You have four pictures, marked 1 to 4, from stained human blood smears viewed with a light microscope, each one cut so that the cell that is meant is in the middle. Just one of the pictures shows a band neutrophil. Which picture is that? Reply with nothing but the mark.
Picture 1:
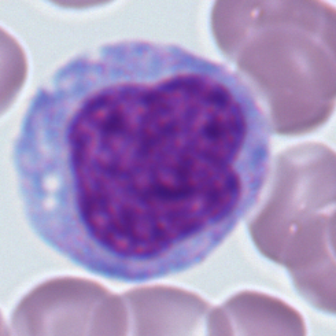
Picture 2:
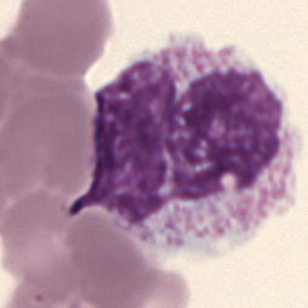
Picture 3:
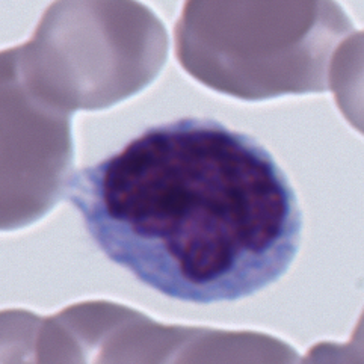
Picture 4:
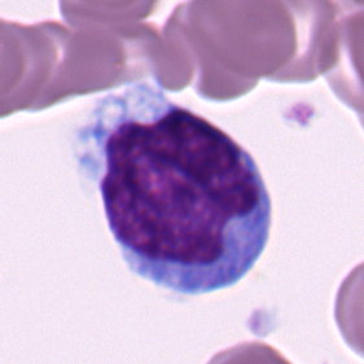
2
